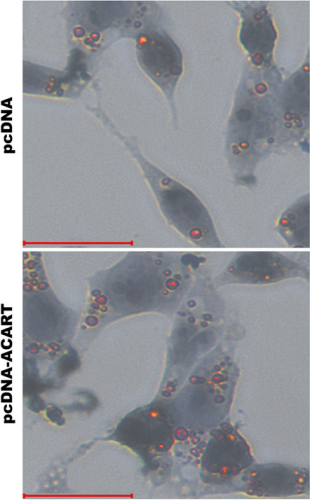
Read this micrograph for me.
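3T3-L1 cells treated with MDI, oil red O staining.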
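Cultured cells, elongated to polygonal in outline with grey cytoplasm, lie spread on the dish with pale spaces between them. Within the cytoplasm of many cells lie numerous small round droplets stained red to orange, of varying size and clustered around the cell body.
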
